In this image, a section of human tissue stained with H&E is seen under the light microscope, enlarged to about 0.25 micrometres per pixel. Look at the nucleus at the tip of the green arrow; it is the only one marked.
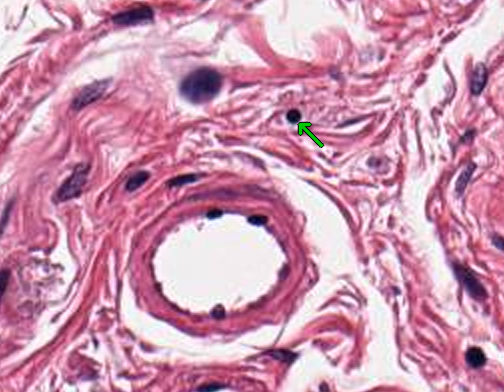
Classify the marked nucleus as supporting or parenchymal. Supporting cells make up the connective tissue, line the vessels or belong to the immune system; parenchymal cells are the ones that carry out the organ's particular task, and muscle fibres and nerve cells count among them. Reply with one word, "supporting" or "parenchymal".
supporting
